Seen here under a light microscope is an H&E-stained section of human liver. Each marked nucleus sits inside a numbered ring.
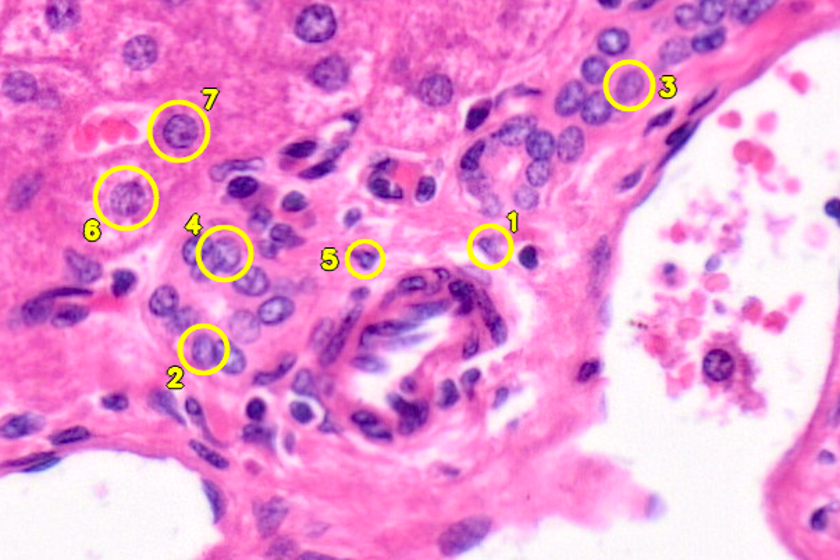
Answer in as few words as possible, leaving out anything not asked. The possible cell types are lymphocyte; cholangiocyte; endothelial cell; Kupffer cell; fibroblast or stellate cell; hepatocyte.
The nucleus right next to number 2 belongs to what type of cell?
cholangiocyte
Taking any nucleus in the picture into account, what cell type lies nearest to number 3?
cholangiocyte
